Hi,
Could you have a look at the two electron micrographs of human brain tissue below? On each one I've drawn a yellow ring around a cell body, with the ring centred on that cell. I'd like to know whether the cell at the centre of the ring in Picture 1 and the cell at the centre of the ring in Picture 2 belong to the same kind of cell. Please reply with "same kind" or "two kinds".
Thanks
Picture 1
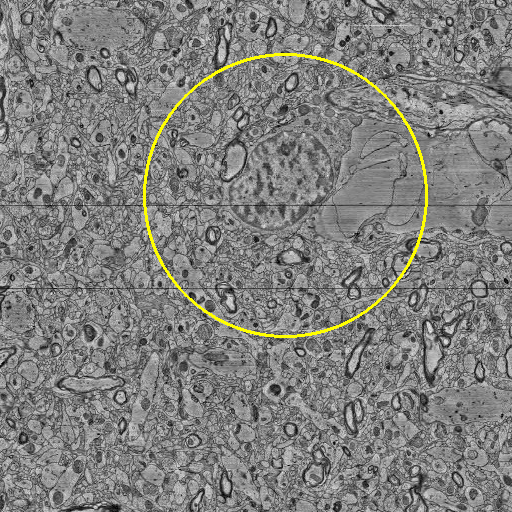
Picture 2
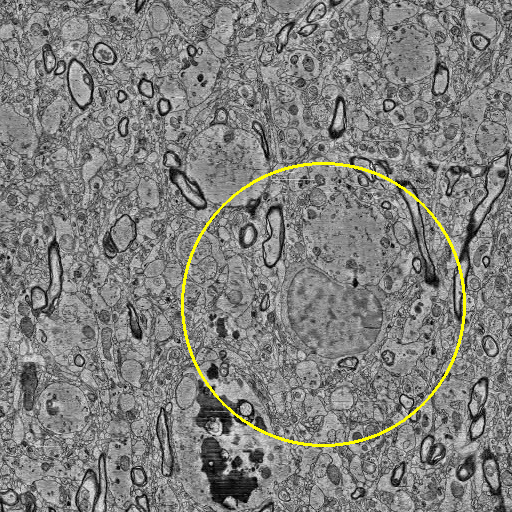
same kind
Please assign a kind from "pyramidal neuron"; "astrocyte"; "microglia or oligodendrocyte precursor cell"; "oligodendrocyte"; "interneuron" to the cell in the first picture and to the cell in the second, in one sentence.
The ring centre holds an oligodendrocyte in each of the two pictures.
